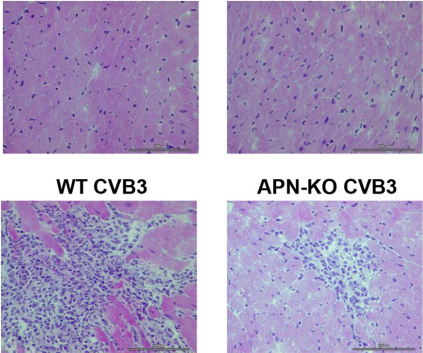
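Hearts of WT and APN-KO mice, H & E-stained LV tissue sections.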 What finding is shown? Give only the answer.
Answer: Inflammatory cell infiltration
